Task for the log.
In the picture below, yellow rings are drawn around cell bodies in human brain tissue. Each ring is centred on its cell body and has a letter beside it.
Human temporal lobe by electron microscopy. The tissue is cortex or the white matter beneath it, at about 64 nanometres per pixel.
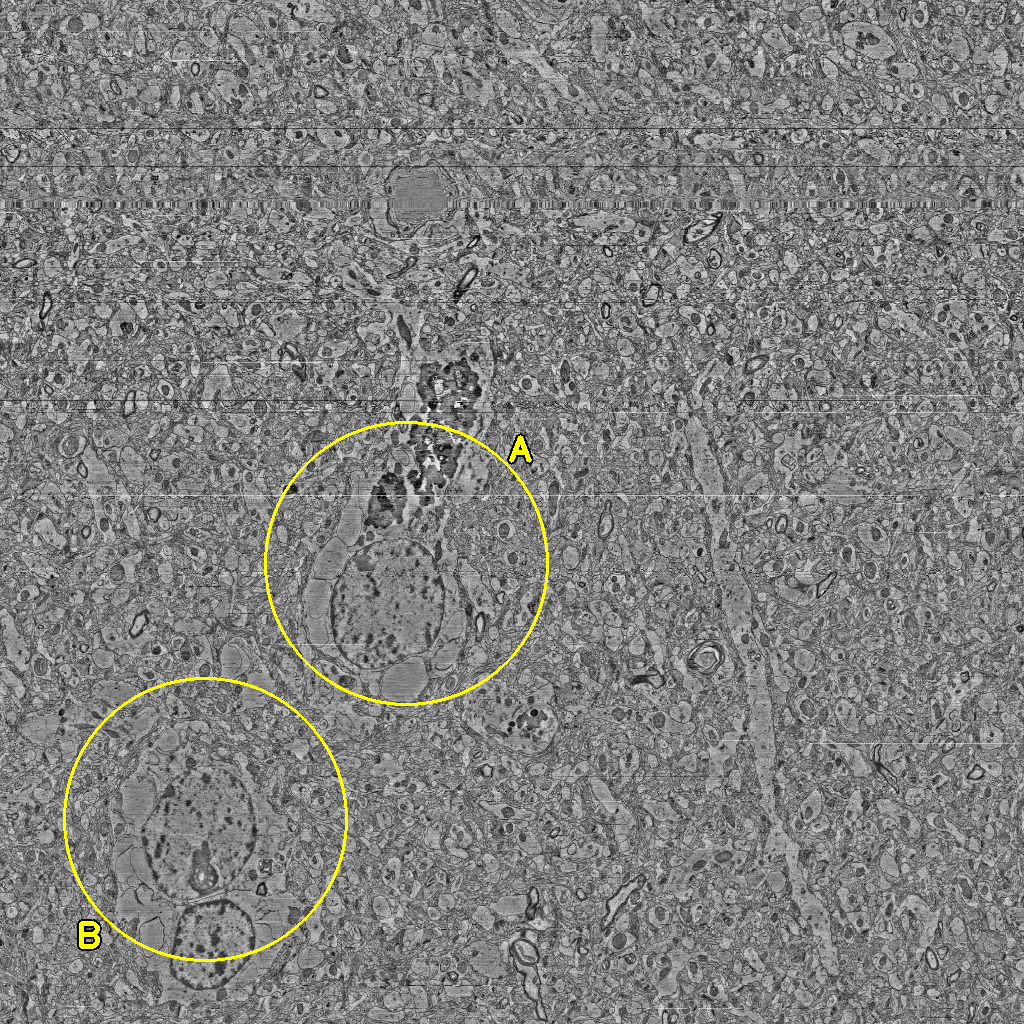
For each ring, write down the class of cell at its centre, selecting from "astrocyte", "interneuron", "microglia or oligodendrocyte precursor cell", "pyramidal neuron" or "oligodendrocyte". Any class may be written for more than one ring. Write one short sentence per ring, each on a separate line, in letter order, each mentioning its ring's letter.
The cell inside ring A, at its centre, is an astrocyte.
The cell inside ring B, at its centre, is an astrocyte.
